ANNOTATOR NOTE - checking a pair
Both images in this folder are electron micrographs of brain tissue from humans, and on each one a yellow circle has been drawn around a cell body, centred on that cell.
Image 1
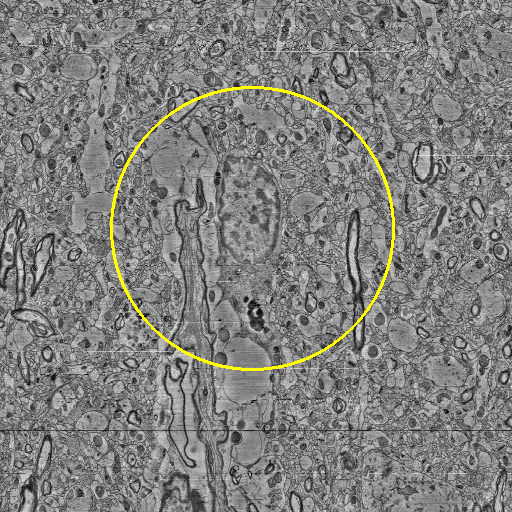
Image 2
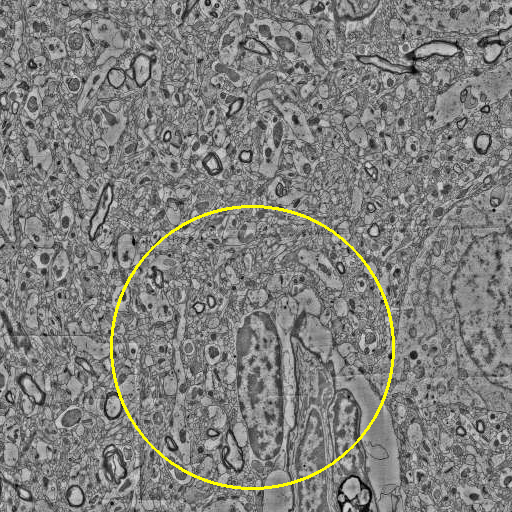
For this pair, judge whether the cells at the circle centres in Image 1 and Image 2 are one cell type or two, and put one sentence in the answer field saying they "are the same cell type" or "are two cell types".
For this pair, the cells at the circle centres in Images 1 and 2 are two cell types.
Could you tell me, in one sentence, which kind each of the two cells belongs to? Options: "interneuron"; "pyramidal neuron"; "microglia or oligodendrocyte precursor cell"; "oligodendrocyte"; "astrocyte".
At the centre of the first ring sits an oligodendrocyte, and at the centre of the second sits a microglial cell or oligodendrocyte precursor cell.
